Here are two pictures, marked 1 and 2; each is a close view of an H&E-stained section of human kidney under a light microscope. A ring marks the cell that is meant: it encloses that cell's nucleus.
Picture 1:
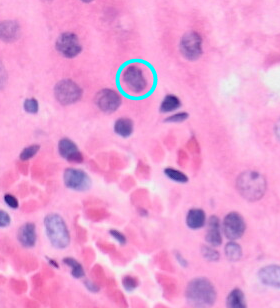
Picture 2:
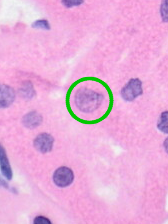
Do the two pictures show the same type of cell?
yes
